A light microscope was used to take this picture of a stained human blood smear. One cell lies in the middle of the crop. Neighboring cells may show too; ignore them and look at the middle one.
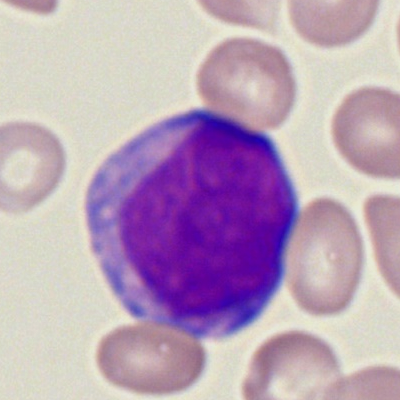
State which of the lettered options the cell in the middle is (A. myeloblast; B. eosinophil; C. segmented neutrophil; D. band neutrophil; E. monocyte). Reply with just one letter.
A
